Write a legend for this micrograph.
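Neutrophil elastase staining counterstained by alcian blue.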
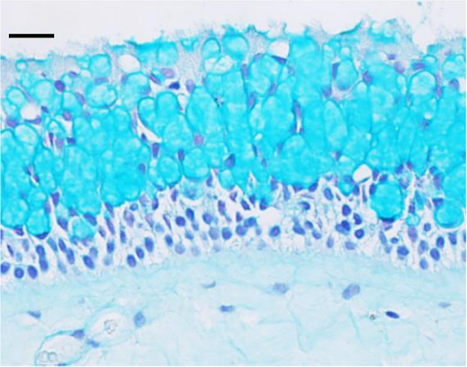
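Small dark blue-purple nuclei are crowded toward the base beneath the mucin-filled cells, and the underlying connective tissue is pale with few scattered nuclei. No brown-stained cells are seen.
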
